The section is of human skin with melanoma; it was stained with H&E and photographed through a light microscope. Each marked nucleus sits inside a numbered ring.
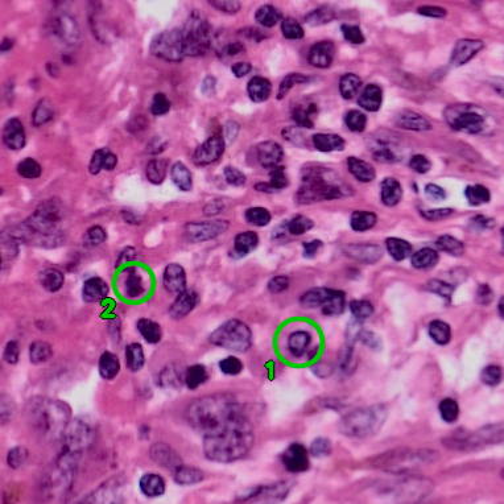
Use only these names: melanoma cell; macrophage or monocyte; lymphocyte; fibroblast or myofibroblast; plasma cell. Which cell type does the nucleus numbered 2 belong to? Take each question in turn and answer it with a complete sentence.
Numbered cell 2 is a lymphocyte in this tissue section.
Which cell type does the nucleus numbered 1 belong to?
Number 1 among the marked cells is a plasma cell.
